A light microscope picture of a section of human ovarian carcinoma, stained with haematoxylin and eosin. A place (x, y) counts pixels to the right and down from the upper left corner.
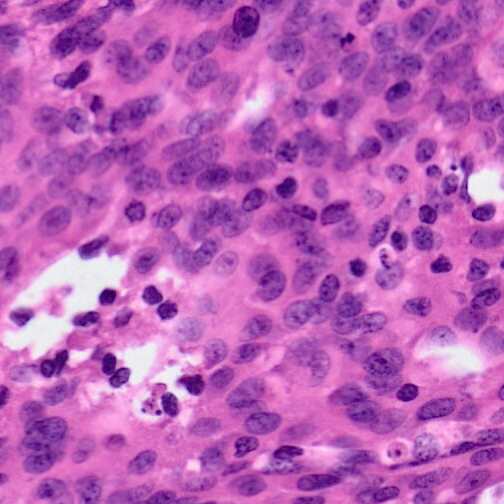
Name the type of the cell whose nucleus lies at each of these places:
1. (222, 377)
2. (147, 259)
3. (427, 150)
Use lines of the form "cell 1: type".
cell 1: carcinoma cell
cell 2: carcinoma cell
cell 3: macrophage or monocyte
